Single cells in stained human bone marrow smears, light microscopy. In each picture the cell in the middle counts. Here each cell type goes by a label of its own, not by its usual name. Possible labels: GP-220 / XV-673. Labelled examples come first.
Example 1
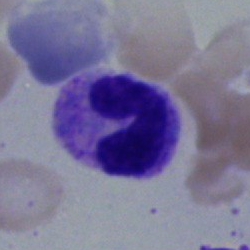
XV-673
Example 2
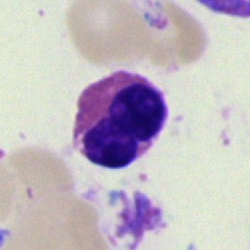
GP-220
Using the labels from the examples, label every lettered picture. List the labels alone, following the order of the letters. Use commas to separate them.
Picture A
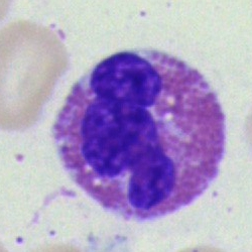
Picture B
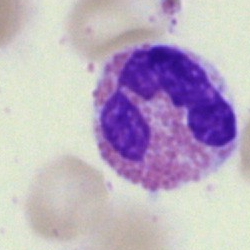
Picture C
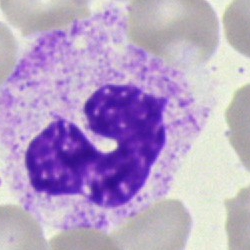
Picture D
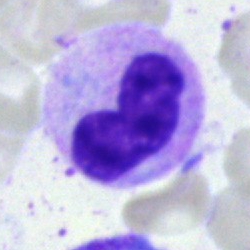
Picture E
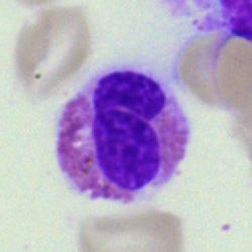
GP-220, GP-220, XV-673, XV-673, GP-220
